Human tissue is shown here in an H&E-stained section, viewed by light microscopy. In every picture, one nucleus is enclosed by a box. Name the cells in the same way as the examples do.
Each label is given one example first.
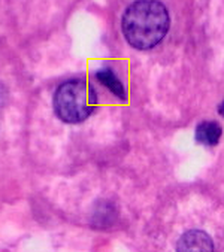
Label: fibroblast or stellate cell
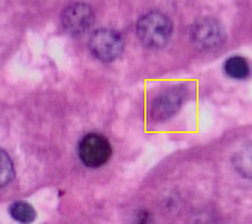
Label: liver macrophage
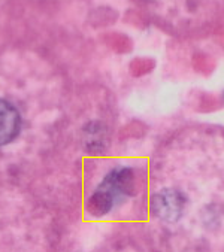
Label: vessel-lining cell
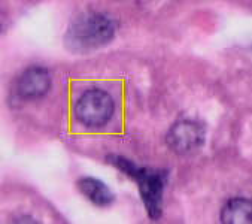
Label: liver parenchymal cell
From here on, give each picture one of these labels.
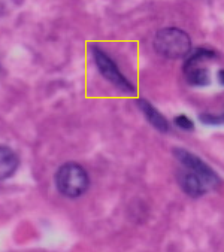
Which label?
fibroblast or stellate cell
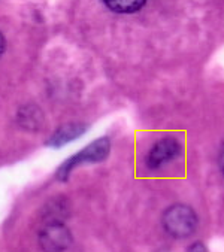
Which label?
fibroblast or stellate cell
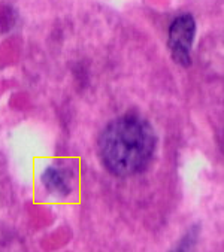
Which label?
vessel-lining cell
